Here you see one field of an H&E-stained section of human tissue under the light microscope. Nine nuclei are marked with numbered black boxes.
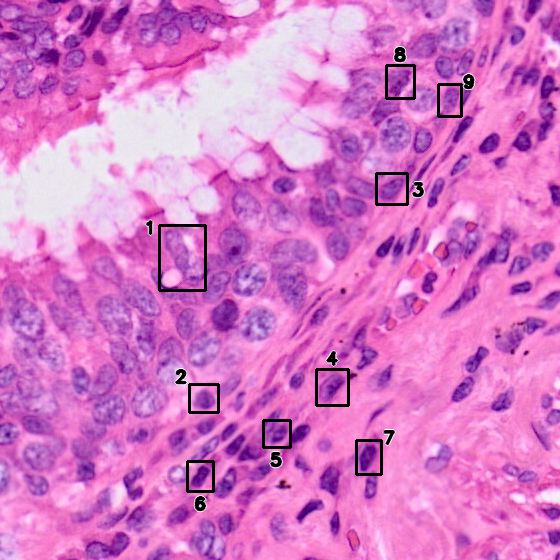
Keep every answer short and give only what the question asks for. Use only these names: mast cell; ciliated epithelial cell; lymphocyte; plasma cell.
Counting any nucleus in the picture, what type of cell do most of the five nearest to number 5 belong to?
plasma cell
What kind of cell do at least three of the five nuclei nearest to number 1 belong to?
ciliated epithelial cell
